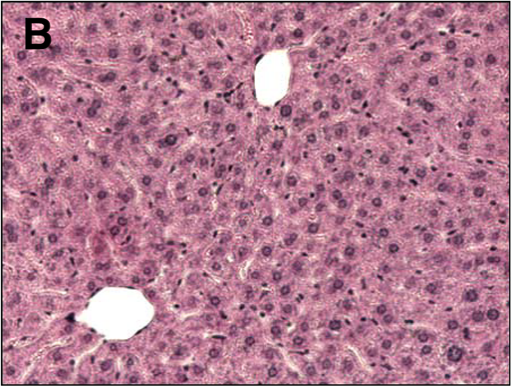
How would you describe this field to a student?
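Polygonal cells with pink cytoplasm and round purple nuclei, some with visible nucleoli, form cords with thin pale channels between them. Two open vessel lumens lie in the field, one at the top and one at the lower left. Many small, dark, elongated or oval nuclei are scattered between the cords. This is liver, with hepatocytes in plates along sinusoids and numerous small non-hepatocyte nuclei lying in the sinusoidal spaces.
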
